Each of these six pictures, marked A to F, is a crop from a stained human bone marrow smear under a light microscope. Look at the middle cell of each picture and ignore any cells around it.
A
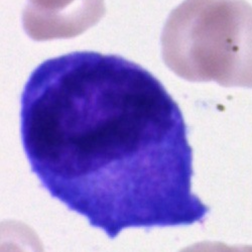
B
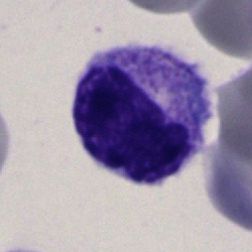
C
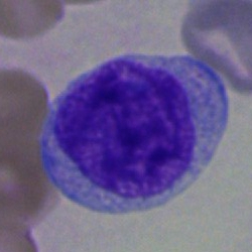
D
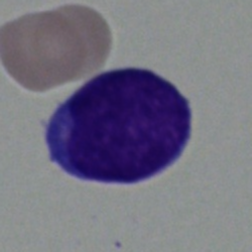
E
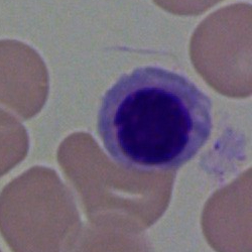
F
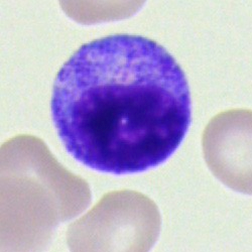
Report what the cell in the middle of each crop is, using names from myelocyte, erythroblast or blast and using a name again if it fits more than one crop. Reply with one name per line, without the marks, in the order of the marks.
blast
myelocyte
myelocyte
blast
erythroblast
myelocyte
